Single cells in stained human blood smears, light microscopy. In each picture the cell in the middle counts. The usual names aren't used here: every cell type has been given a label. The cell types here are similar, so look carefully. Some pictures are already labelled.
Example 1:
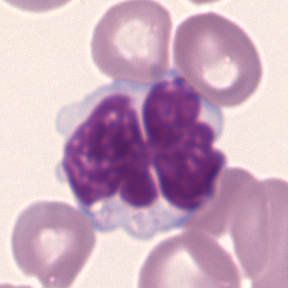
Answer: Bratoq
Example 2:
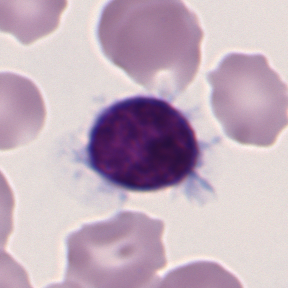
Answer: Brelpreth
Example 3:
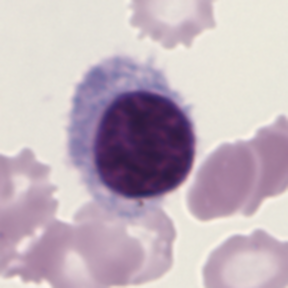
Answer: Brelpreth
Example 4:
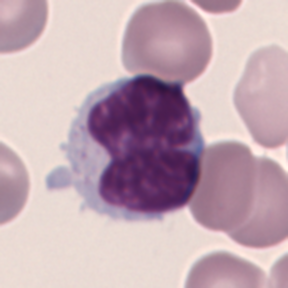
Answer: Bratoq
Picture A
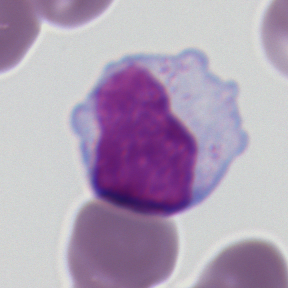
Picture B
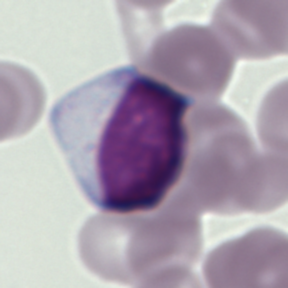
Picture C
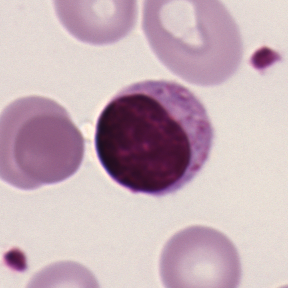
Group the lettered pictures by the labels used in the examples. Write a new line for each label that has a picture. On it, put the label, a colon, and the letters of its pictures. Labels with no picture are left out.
Bratoq: A, B, C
